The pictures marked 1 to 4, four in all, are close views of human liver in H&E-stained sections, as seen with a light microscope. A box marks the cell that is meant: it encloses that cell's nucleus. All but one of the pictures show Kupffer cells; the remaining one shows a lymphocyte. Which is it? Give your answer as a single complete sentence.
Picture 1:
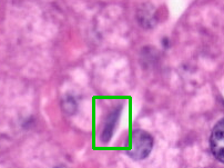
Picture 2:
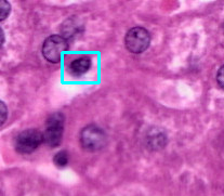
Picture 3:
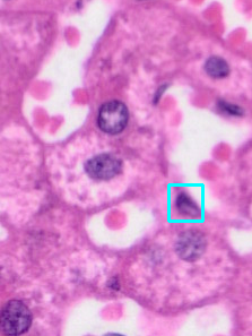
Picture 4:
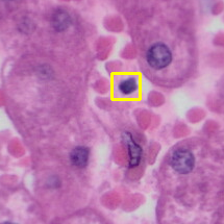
The lymphocyte is the one in picture 4.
